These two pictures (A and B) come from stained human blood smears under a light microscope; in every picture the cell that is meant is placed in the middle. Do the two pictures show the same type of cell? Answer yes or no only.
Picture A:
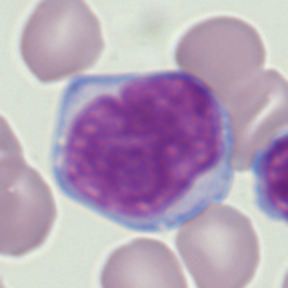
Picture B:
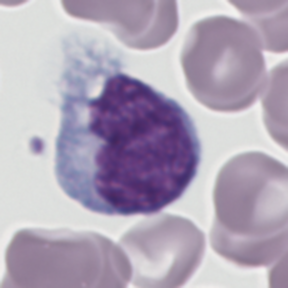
no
